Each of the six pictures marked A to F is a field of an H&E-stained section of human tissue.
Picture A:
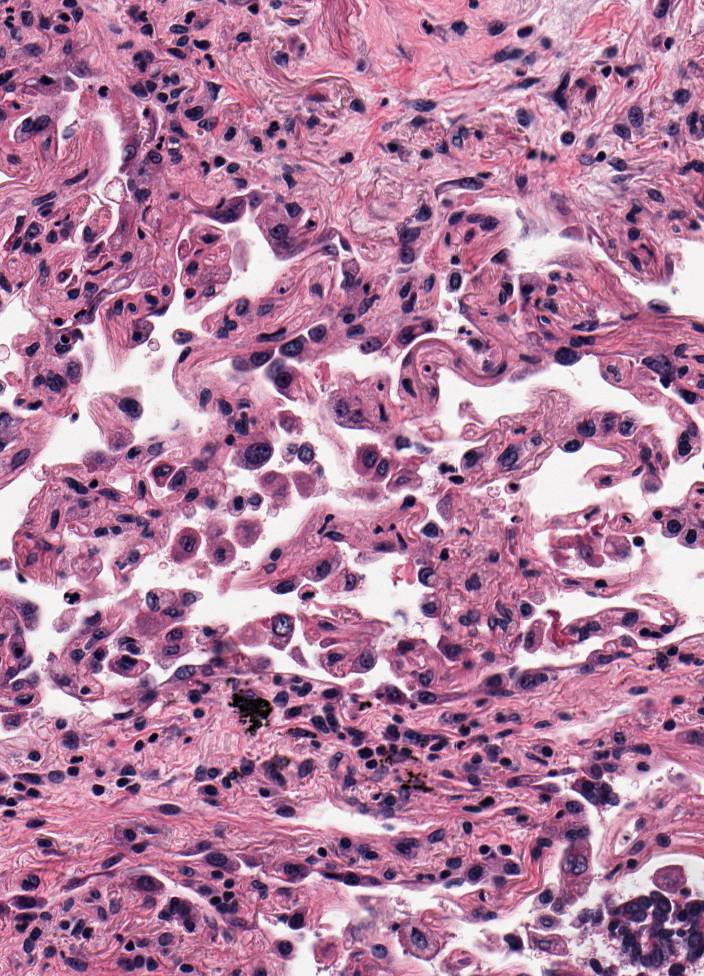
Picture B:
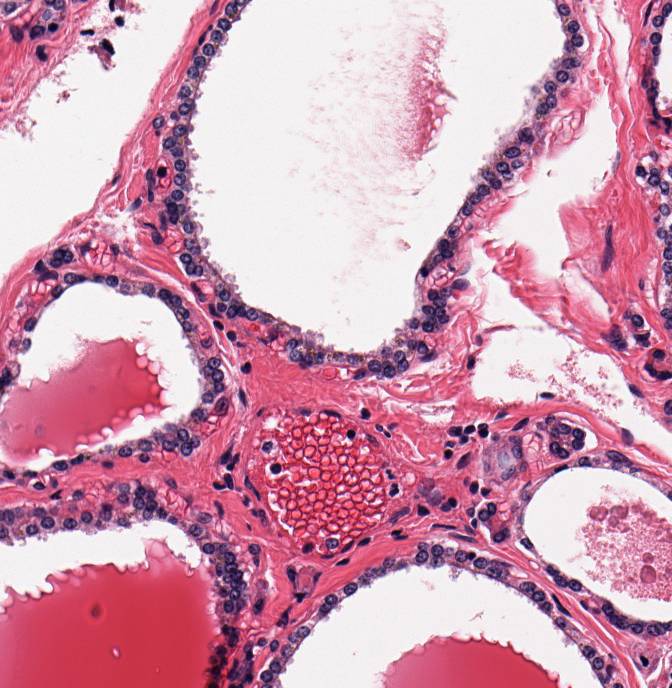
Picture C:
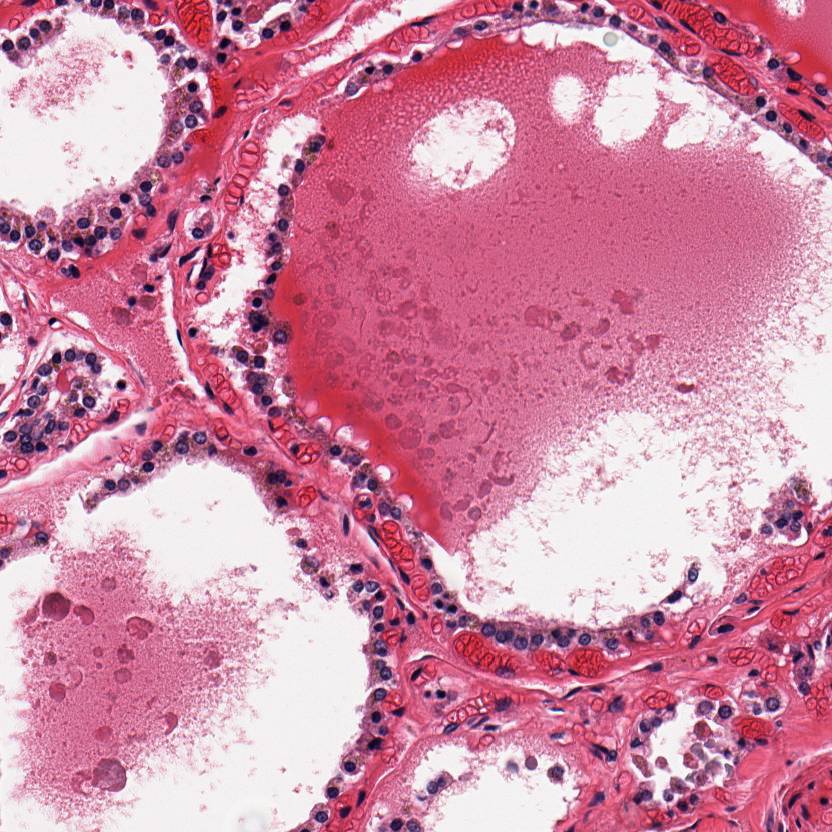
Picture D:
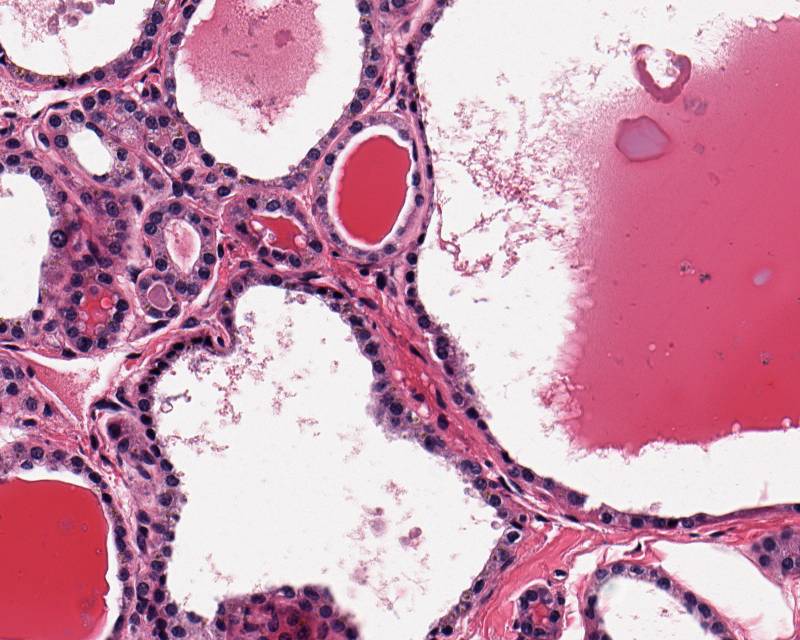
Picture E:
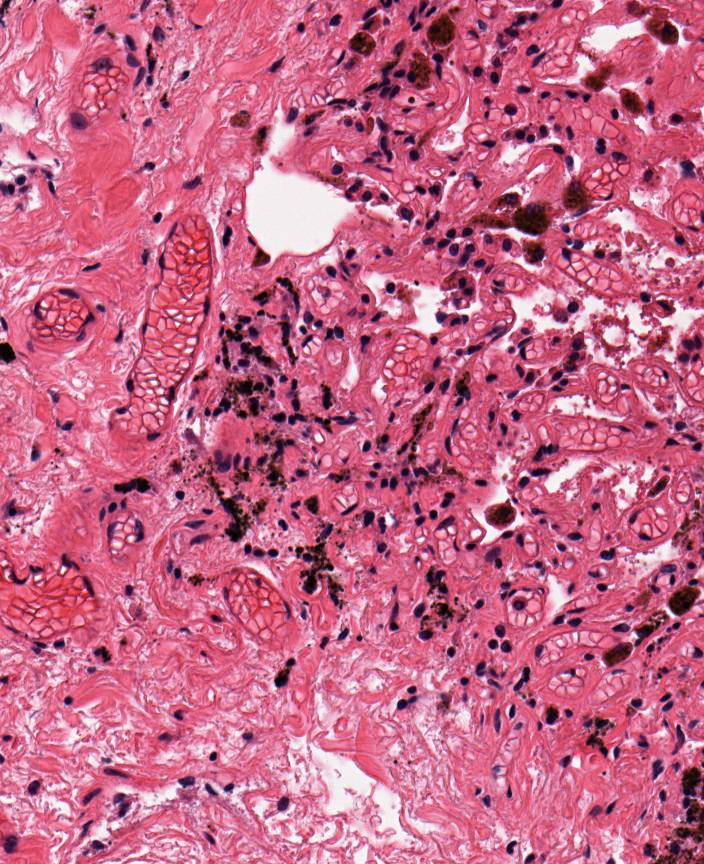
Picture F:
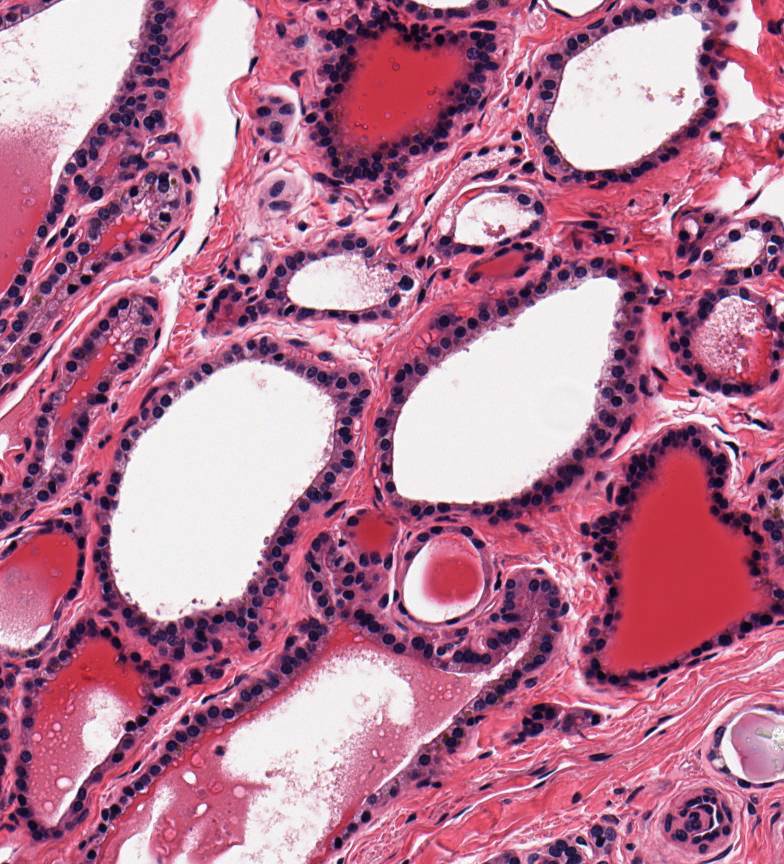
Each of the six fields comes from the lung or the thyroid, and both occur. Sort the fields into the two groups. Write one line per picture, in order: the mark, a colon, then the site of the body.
A: lung
B: thyroid
C: thyroid
D: thyroid
E: lung
F: thyroid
